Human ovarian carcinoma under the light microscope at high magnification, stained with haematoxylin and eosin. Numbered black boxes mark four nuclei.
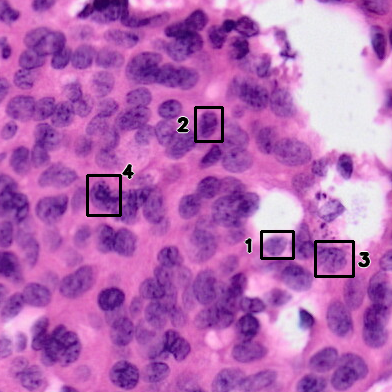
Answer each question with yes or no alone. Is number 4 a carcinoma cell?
yes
